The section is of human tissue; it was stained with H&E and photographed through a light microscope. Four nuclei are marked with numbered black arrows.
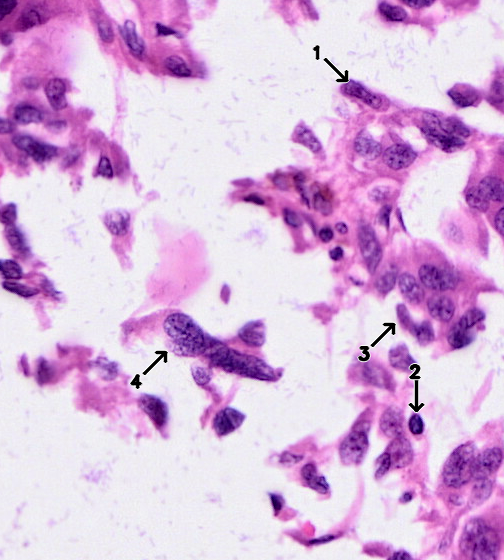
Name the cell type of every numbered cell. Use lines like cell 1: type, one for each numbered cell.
cell 1: melanoma cell
cell 2: lymphocyte
cell 3: melanoma cell
cell 4: melanoma cell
